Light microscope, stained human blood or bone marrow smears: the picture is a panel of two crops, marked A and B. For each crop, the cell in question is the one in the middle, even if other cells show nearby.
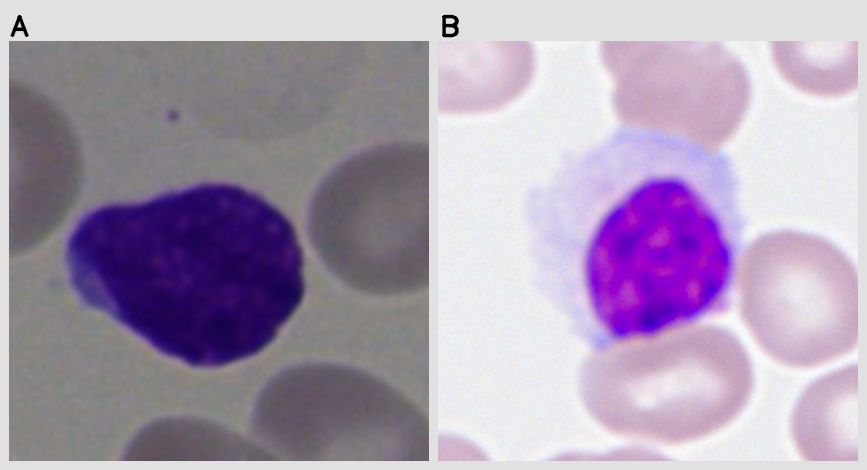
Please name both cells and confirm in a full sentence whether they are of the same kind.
Yes, in the middle of both crops lie lymphocytes.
